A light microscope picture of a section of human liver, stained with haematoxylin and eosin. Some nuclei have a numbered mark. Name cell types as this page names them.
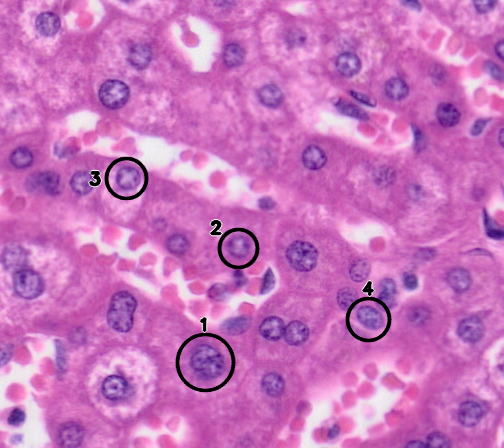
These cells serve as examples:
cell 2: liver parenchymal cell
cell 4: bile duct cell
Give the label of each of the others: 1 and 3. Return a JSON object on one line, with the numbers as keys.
{"1": "liver parenchymal cell", "3": "liver parenchymal cell"}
